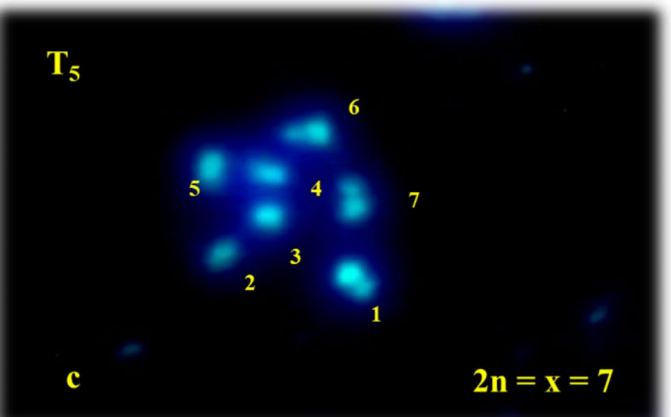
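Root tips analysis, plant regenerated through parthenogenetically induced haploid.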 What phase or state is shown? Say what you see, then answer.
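Short, condensed chromosomes lie as discrete bright bodies. No interphase nucleus outline encloses them. The answer: Mitosis.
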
